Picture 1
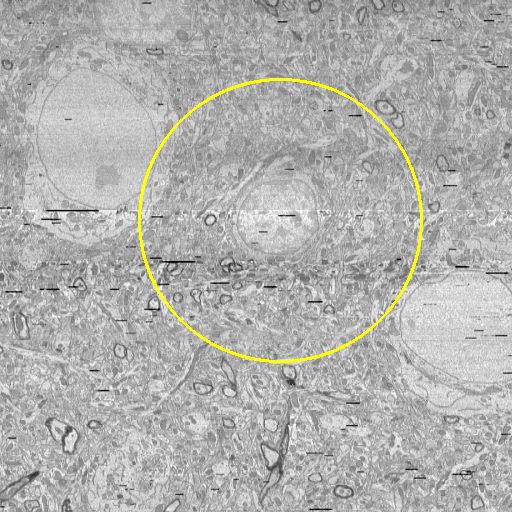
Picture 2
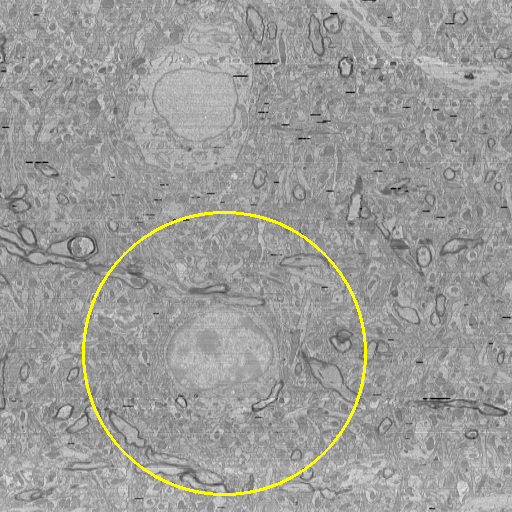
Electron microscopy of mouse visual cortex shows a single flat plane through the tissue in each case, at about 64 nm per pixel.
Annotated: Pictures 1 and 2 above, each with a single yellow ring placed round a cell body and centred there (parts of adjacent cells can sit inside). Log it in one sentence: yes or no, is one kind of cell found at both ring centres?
Yes, the ring centres of the two pictures hold cells of one kind.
